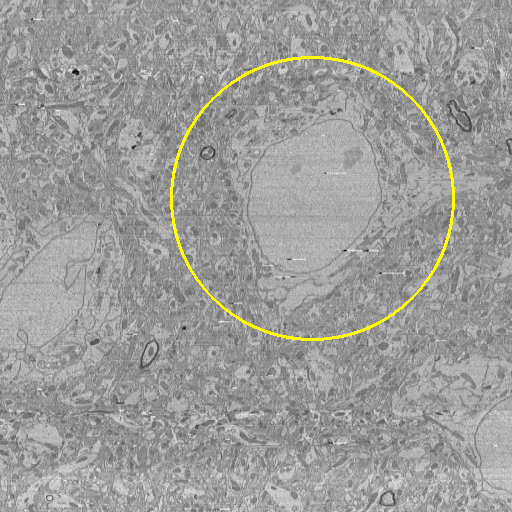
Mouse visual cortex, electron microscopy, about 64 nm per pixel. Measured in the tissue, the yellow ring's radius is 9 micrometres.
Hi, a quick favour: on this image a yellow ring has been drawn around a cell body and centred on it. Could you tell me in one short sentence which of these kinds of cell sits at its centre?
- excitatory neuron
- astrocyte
The ring is centred on an excitatory neuron.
